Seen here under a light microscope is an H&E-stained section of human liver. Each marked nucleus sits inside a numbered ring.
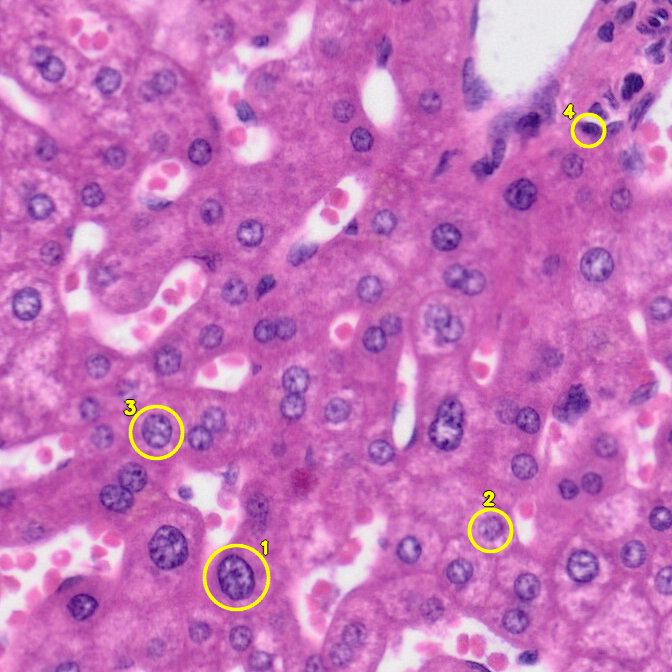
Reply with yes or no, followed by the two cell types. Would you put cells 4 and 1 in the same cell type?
No, sorry, cell 4 is a fibroblast or stellate cell and cell 1 is a hepatocyte.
